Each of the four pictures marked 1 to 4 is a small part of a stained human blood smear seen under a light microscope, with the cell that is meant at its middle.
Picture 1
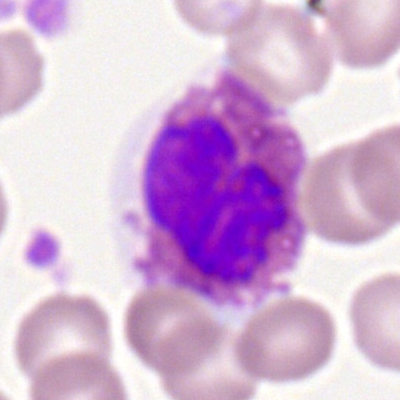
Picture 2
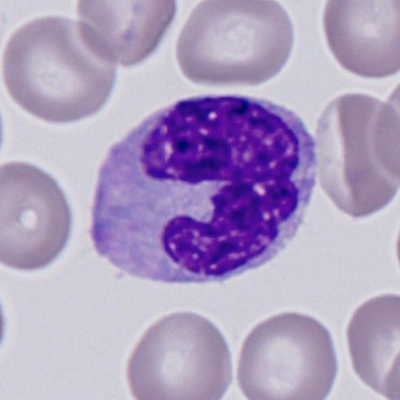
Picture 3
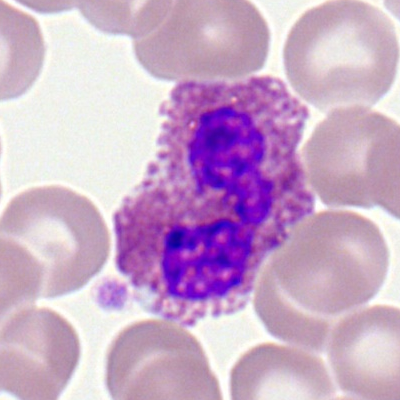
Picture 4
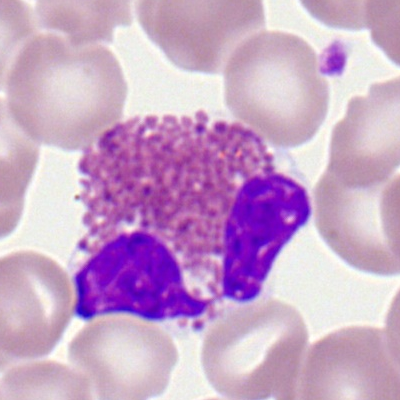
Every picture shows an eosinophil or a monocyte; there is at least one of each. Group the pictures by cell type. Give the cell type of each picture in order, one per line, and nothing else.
eosinophil
monocyte
eosinophil
eosinophil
